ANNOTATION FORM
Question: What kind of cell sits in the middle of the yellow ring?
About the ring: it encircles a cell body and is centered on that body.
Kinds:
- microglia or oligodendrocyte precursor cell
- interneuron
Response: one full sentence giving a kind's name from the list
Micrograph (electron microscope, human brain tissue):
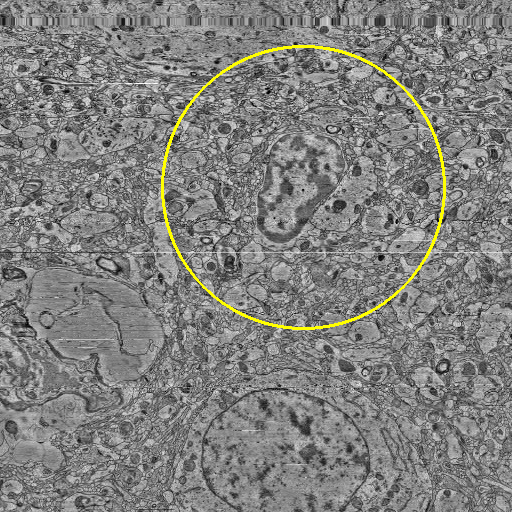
The kind of cell found at the center of the yellow ring in the micrograph is a microglial cell or oligodendrocyte precursor cell.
